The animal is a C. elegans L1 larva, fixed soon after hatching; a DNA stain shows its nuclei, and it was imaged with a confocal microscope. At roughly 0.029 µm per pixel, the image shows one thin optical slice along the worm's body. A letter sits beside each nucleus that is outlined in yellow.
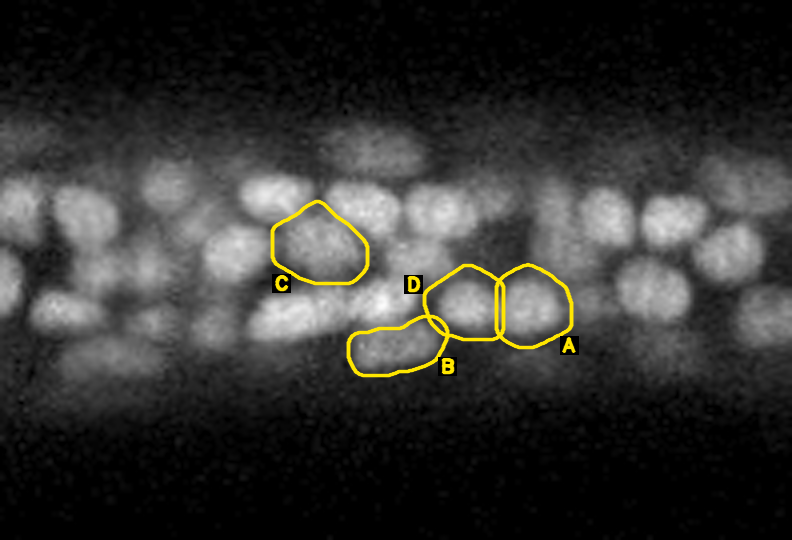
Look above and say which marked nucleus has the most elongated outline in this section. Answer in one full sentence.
B is the most elongated.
